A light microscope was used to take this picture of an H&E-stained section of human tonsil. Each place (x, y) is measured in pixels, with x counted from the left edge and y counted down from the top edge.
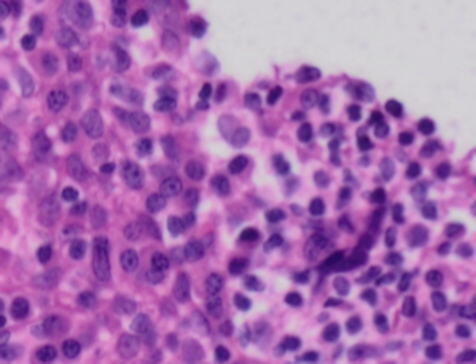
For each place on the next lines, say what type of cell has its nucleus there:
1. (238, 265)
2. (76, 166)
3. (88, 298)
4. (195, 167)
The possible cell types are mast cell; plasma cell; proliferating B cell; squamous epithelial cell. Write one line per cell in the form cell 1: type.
cell 1: plasma cell
cell 2: squamous epithelial cell
cell 3: plasma cell
cell 4: plasma cell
